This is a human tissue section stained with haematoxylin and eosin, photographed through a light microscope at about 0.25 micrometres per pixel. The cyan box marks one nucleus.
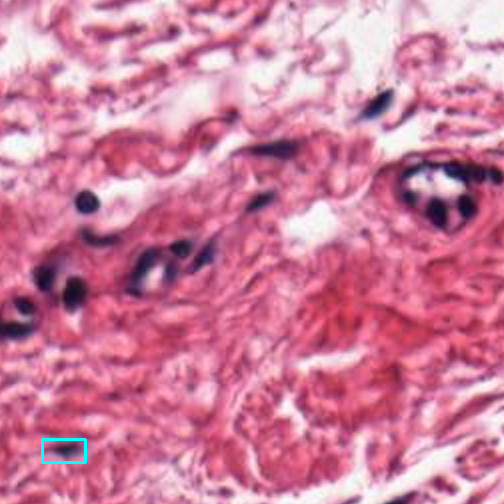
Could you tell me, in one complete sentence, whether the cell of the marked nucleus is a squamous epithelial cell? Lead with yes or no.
No, the marked nucleus is carried by a supporting cell rather than by a squamous epithelial cell.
